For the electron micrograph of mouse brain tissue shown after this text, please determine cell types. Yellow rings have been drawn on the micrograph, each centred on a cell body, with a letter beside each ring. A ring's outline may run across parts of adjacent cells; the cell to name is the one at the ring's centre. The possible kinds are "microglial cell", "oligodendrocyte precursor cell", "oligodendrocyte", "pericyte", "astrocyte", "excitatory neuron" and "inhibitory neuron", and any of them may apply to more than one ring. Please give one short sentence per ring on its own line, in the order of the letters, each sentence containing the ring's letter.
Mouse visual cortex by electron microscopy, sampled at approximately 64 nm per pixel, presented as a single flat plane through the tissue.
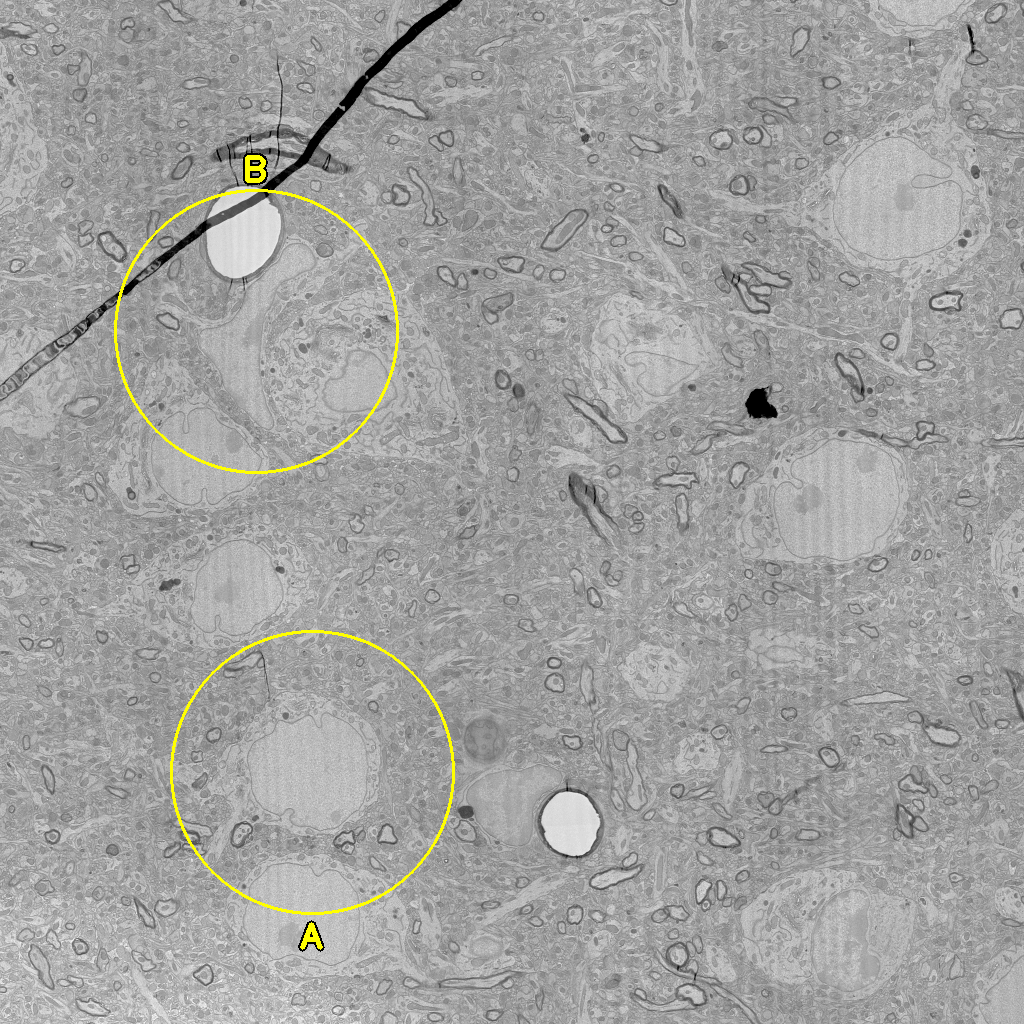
Ring A is set around an excitatory neuron.
Ring B is set around an oligodendrocyte precursor cell.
